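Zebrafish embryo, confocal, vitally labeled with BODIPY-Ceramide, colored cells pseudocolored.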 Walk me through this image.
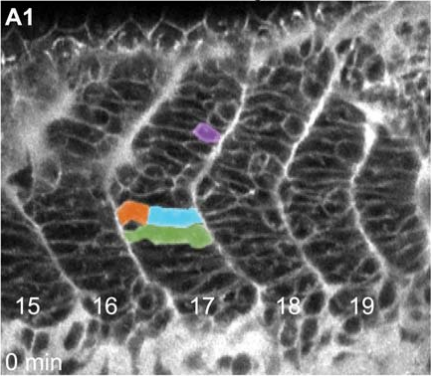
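Several chevron-shaped somites lie side by side, separated by bright membrane boundaries, each filled with muscle cells outlined by bright membranes. The cells are mostly elongated and aligned in the long axis of the body, with dark unlabeled interiors, while some remain rounder.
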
